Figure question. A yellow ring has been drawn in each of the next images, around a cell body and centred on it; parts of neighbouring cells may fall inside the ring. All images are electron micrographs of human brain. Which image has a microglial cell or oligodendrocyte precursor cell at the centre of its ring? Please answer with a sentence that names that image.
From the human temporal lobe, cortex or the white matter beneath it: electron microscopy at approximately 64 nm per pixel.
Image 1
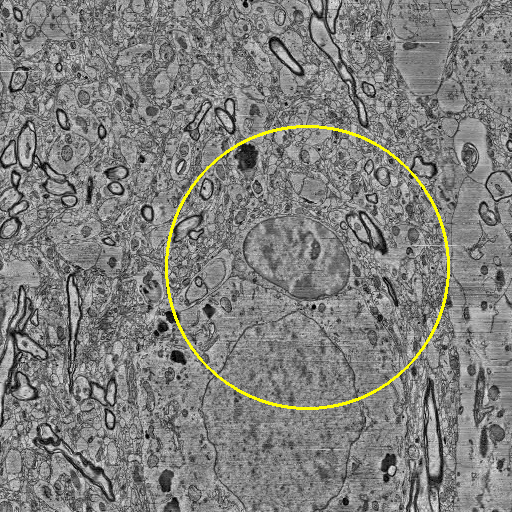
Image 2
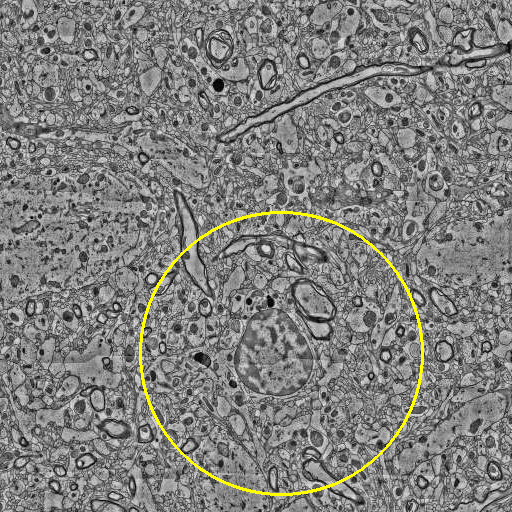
The cell at the centre of the ring in Image 2 is of that kind.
